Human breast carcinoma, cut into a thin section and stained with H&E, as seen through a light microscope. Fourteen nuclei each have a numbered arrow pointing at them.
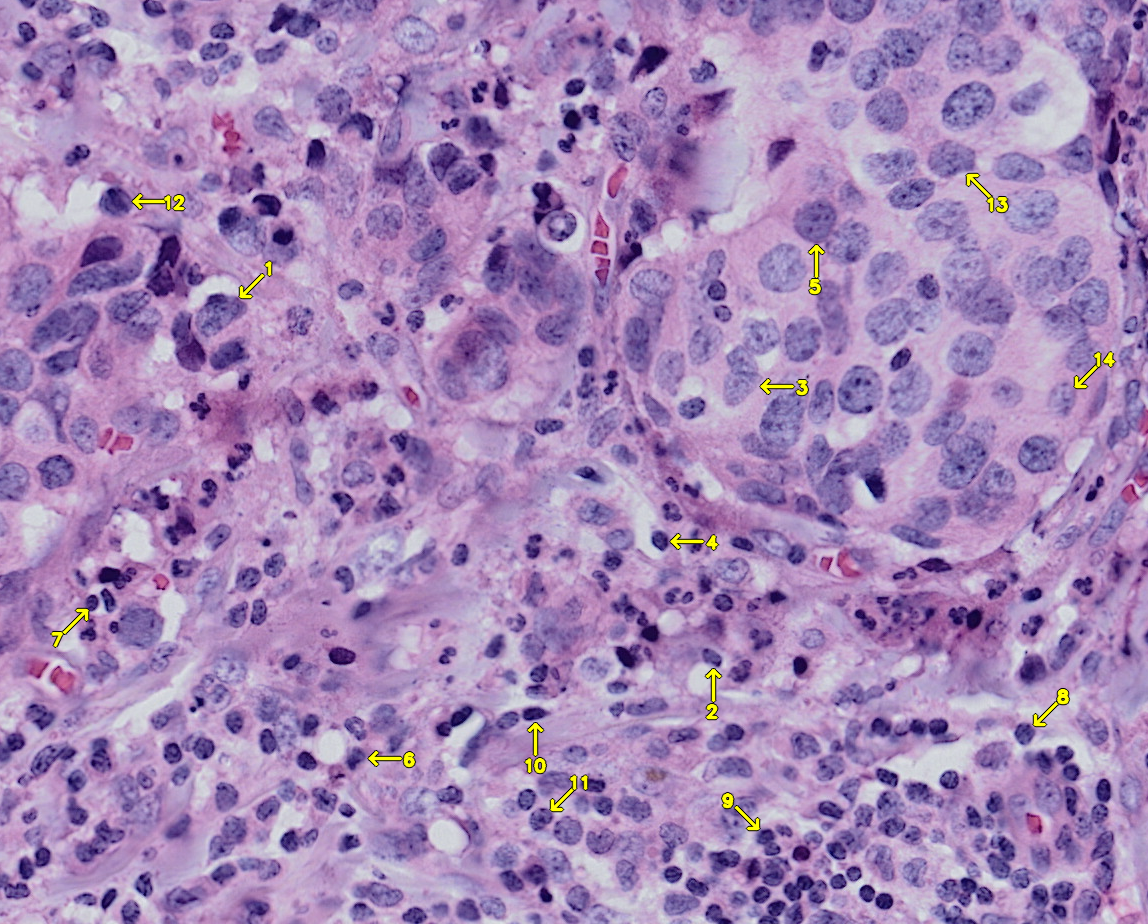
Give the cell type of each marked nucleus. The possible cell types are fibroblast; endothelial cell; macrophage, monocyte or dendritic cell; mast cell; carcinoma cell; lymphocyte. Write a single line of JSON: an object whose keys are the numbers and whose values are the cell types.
{"1": "carcinoma cell", "2": "lymphocyte", "3": "carcinoma cell", "4": "lymphocyte", "5": "carcinoma cell", "6": "lymphocyte", "7": "lymphocyte", "8": "lymphocyte", "9": "lymphocyte", "10": "lymphocyte", "11": "lymphocyte", "12": "carcinoma cell", "13": "carcinoma cell", "14": "carcinoma cell"}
